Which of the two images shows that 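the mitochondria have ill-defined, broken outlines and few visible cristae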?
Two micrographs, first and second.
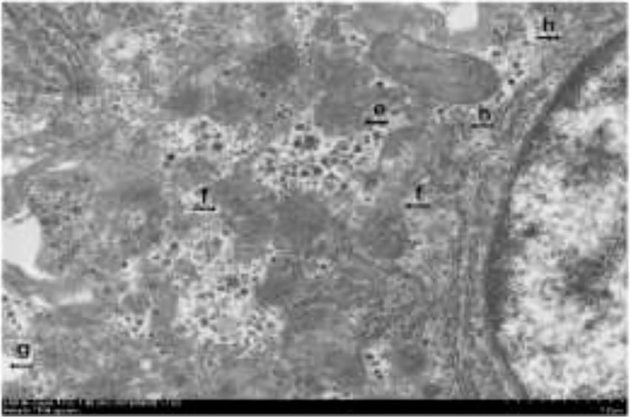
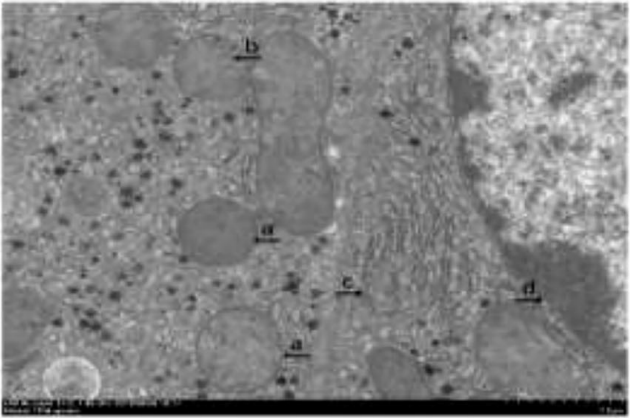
The first image.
